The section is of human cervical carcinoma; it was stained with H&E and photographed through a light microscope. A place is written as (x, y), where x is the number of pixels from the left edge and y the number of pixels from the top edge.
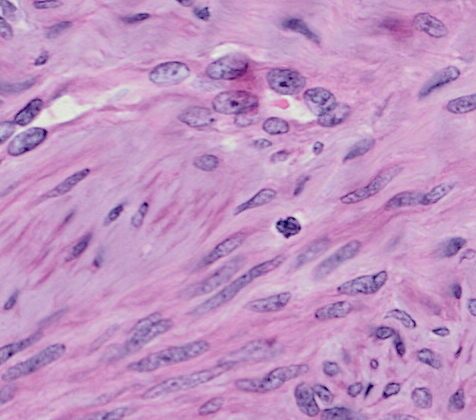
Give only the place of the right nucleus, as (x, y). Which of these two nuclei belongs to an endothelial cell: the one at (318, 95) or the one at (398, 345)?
(318, 95)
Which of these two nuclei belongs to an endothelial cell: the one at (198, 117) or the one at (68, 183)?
(198, 117)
